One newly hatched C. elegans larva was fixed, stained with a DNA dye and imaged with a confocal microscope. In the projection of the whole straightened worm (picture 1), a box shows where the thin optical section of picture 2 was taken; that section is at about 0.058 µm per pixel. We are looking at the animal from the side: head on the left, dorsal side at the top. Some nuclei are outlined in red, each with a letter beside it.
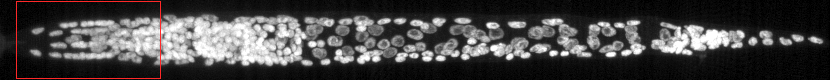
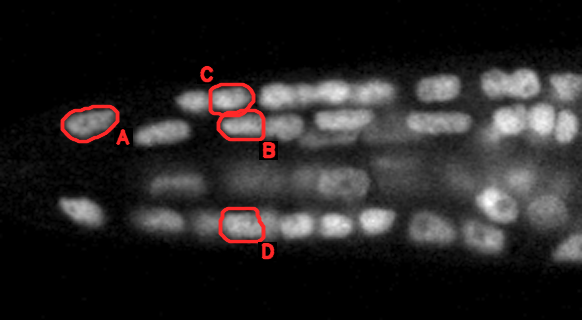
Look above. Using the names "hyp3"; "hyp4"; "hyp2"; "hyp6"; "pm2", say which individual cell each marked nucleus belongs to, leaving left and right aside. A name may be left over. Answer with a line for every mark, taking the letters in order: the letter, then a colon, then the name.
A: hyp4
B: pm2
C: hyp3
D: hyp2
